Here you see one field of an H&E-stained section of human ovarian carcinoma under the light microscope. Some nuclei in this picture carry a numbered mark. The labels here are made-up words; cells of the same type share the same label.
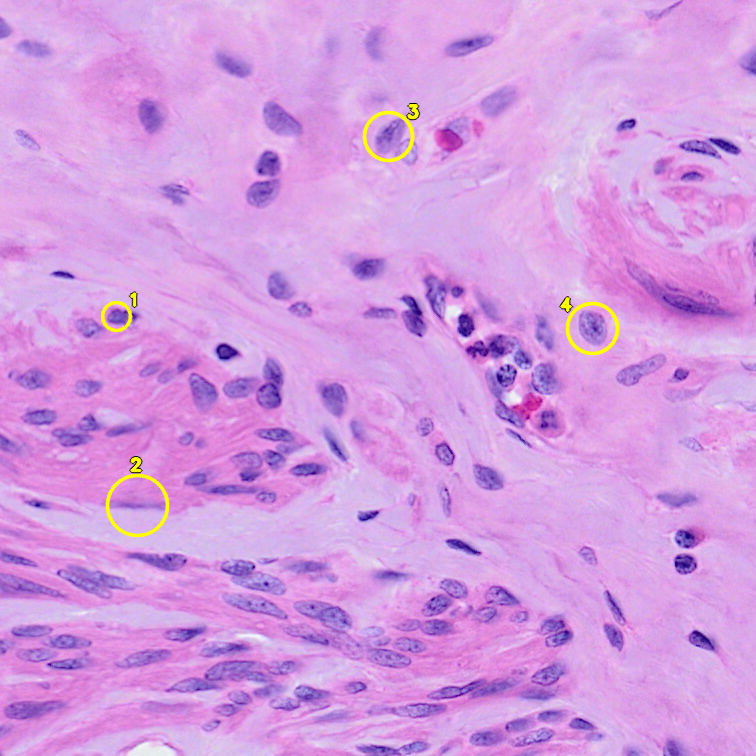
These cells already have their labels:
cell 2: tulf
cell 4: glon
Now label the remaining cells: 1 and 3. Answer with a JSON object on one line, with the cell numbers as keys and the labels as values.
{"1": "tulf", "3": "glon"}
